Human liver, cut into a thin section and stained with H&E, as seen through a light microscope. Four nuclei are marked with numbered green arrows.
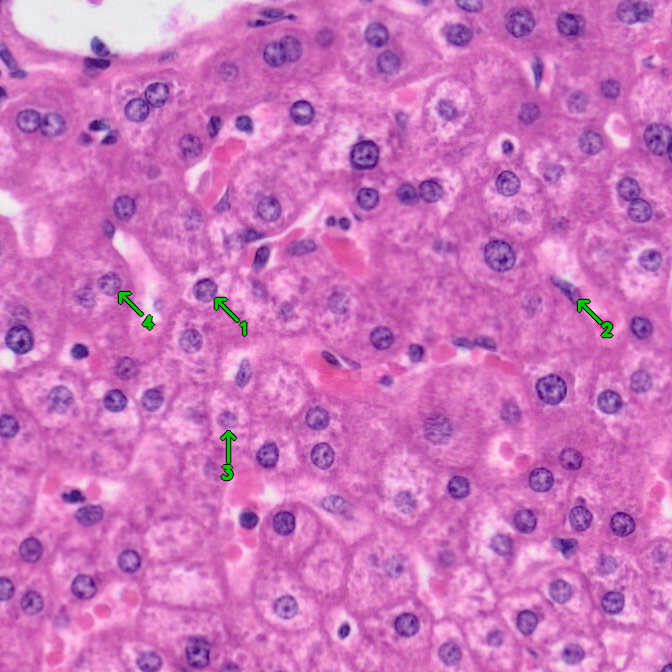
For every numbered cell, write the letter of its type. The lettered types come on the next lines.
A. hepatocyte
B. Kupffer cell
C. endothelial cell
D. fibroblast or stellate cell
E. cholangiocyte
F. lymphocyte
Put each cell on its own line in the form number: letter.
1: A
2: C
3: A
4: A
